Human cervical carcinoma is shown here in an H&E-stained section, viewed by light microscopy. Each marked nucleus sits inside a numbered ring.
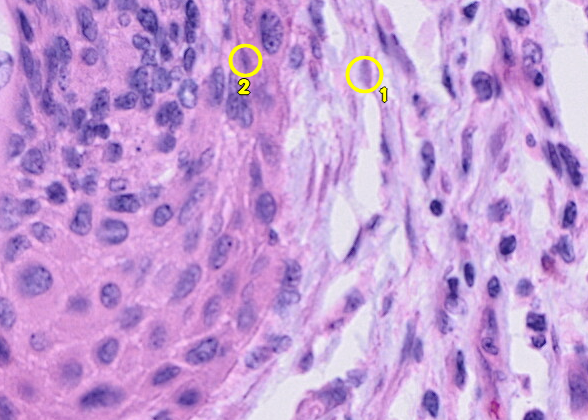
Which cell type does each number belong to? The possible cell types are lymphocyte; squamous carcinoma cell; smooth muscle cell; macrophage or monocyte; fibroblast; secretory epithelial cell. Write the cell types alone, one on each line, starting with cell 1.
fibroblast
squamous carcinoma cell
